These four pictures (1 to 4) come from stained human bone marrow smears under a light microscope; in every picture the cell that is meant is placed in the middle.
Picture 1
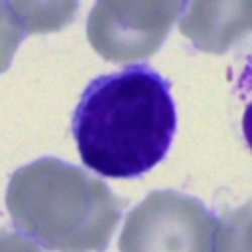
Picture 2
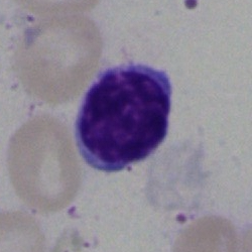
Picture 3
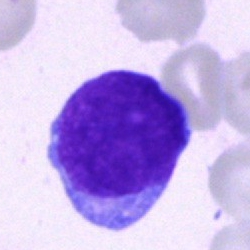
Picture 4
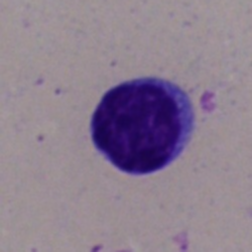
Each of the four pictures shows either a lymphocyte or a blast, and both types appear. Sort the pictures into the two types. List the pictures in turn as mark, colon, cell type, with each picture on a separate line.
1: lymphocyte
2: lymphocyte
3: blast
4: lymphocyte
